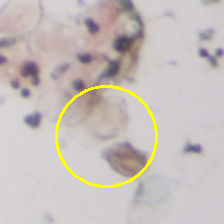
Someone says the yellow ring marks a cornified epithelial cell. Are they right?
They are right: it is a cornified epithelial cell.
